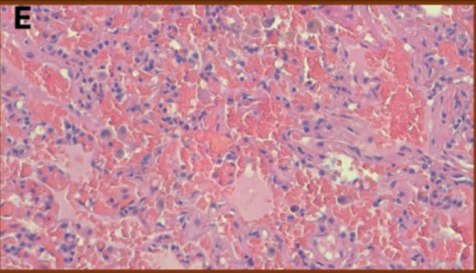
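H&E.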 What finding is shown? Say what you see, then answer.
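Alveolar spaces filled with red blood cells. Septa thickened and engorged with red cells. On this evidence: interalveolar hemorrhages.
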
